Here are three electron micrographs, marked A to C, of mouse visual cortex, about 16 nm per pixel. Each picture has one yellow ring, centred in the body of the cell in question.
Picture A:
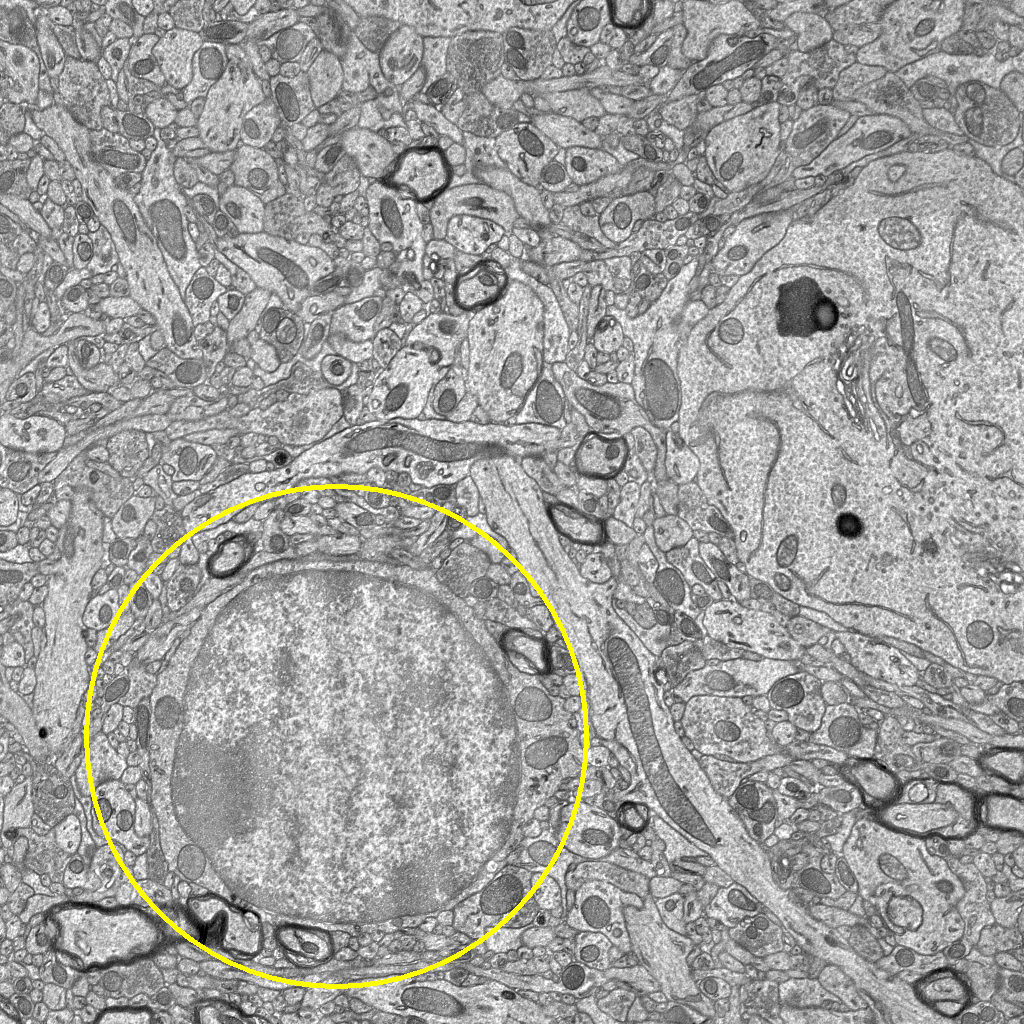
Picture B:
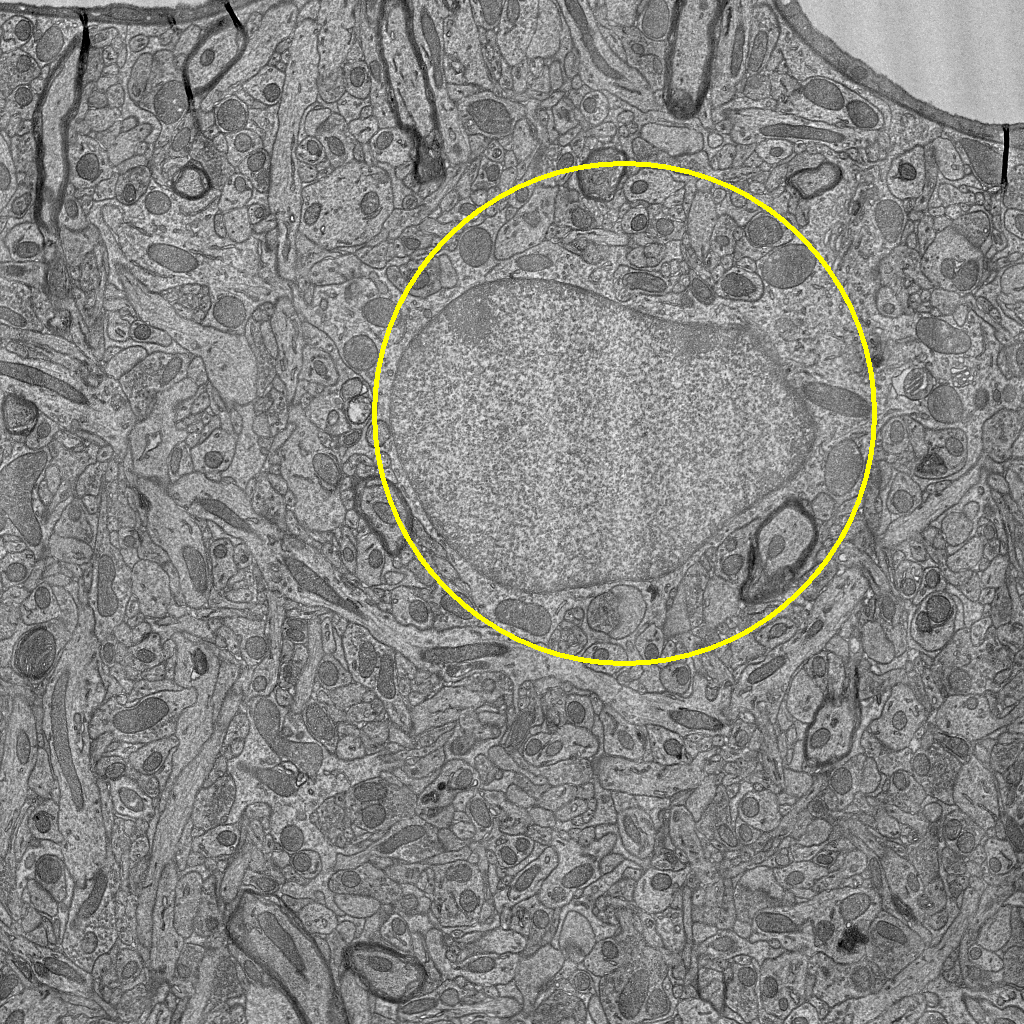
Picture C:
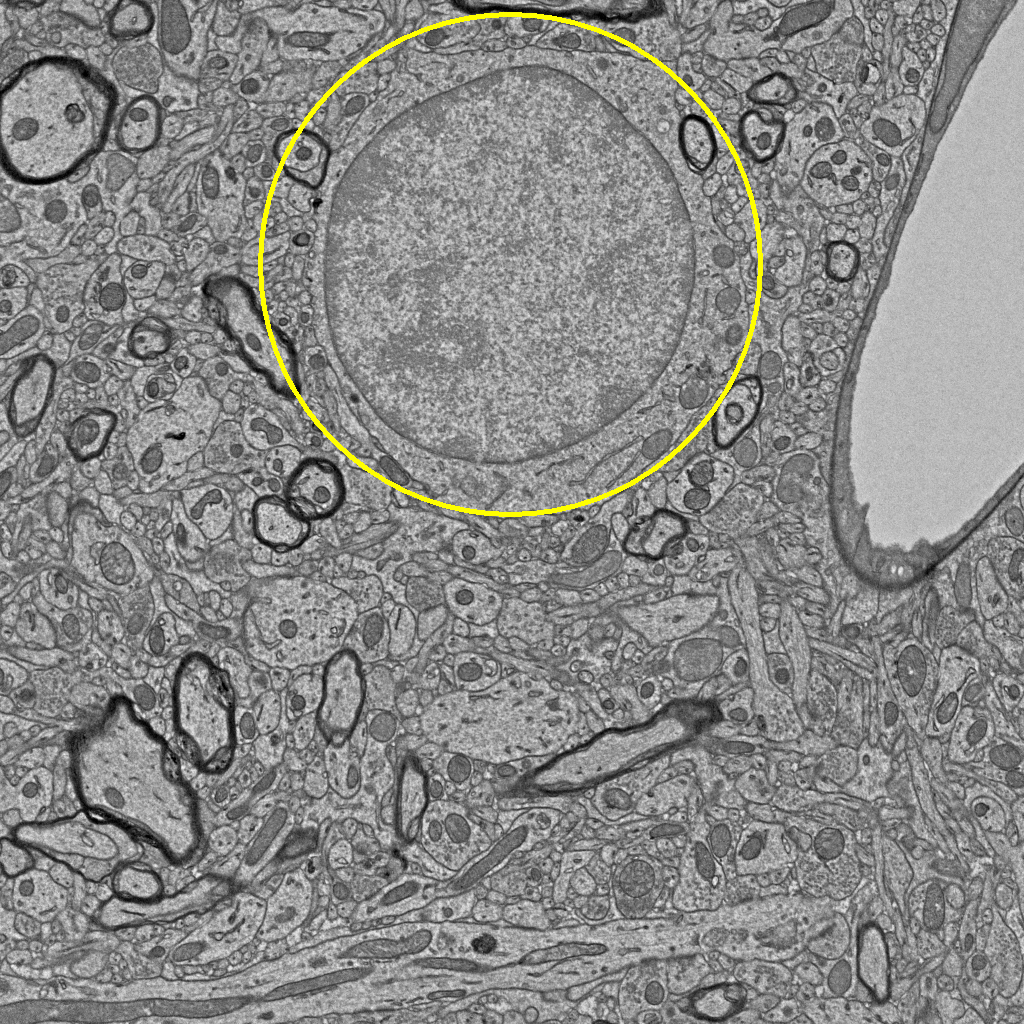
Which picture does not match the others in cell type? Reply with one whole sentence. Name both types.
All pictures except B show oligodendrocytes; picture B shows an astrocyte.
